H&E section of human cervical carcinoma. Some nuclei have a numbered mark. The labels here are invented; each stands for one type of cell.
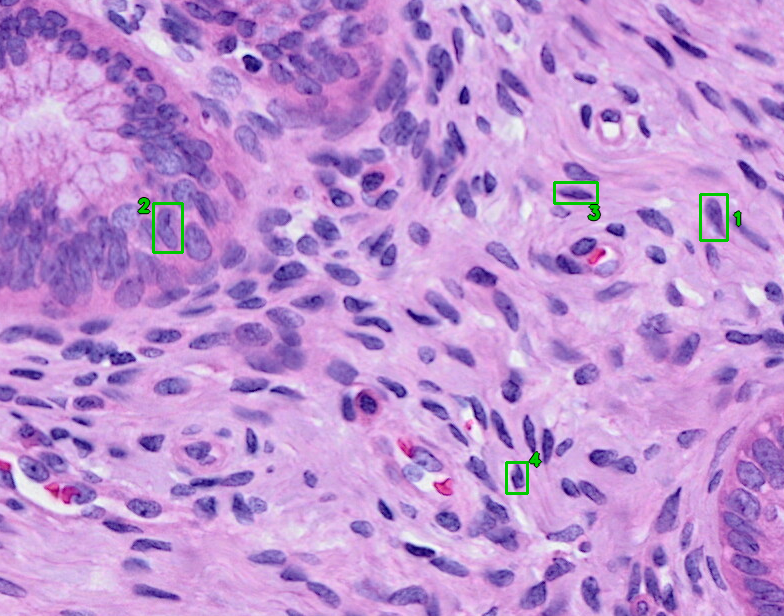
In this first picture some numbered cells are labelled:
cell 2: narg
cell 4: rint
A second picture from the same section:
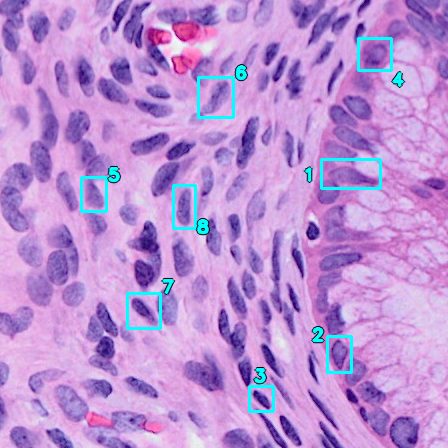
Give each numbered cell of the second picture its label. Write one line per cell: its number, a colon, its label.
1: narg
2: narg
3: rint
4: narg
5: rint
6: rint
7: rint
8: rint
